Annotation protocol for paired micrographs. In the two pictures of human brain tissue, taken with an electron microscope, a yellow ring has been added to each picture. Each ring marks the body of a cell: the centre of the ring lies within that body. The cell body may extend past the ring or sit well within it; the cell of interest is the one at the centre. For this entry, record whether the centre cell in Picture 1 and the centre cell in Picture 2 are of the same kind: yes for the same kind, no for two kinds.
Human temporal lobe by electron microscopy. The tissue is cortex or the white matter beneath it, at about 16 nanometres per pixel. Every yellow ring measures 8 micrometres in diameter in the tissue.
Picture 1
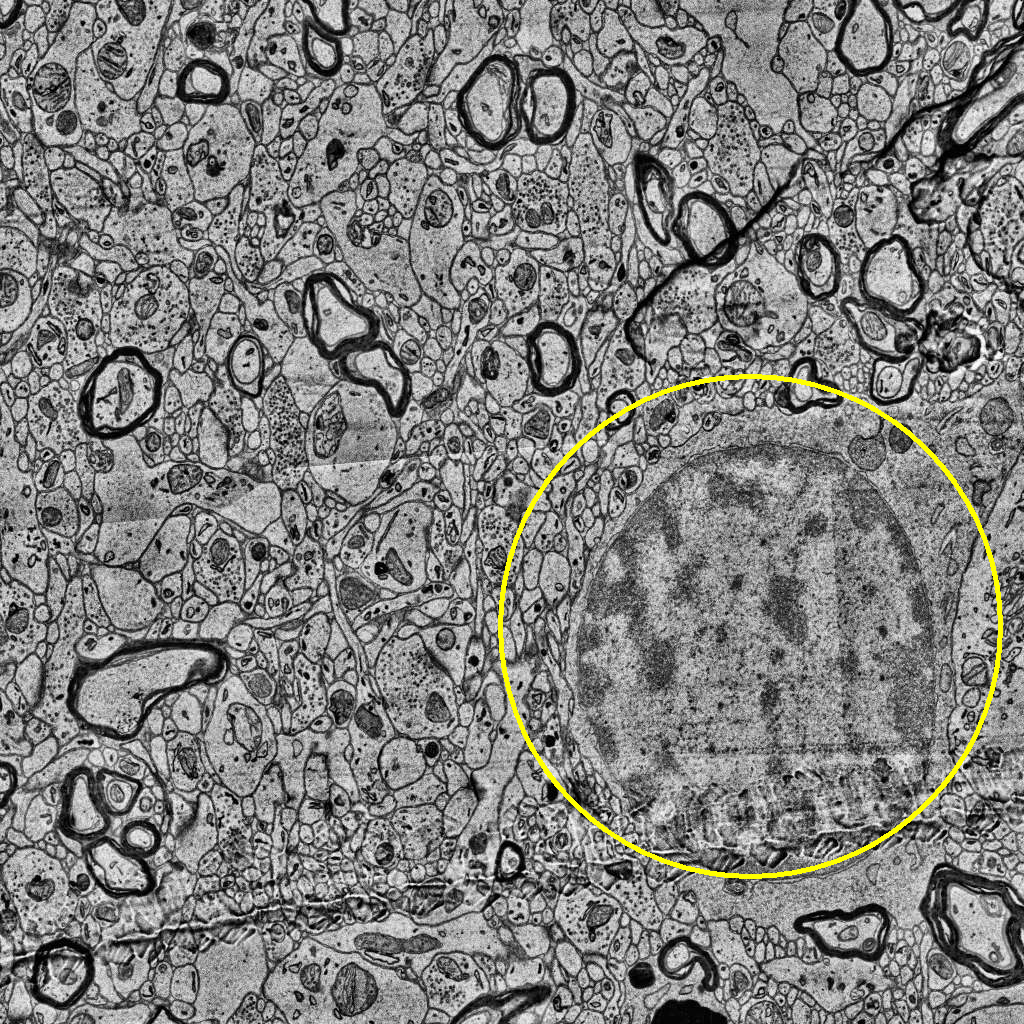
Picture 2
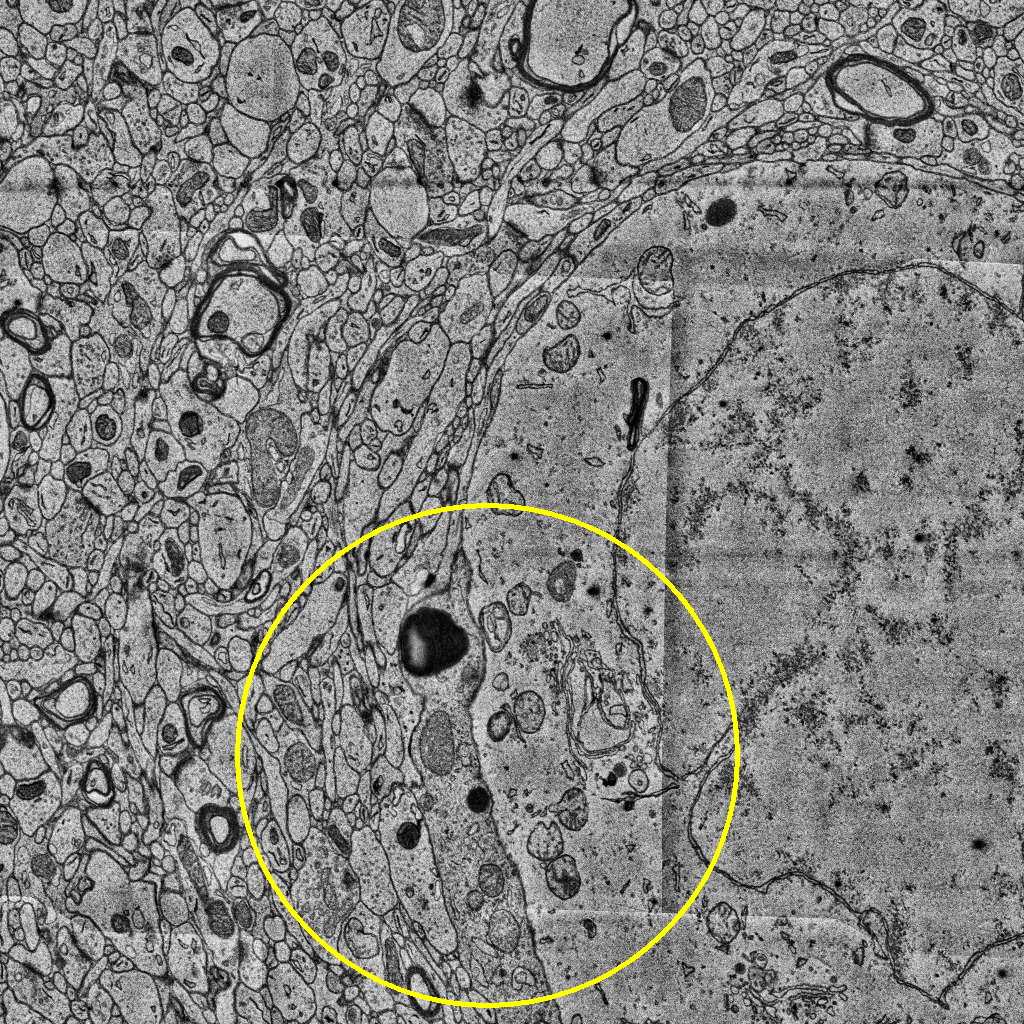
yes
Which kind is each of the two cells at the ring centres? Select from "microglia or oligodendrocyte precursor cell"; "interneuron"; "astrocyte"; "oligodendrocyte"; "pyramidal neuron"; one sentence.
The cell in the first picture is an oligodendrocyte, and so is the one in the second.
